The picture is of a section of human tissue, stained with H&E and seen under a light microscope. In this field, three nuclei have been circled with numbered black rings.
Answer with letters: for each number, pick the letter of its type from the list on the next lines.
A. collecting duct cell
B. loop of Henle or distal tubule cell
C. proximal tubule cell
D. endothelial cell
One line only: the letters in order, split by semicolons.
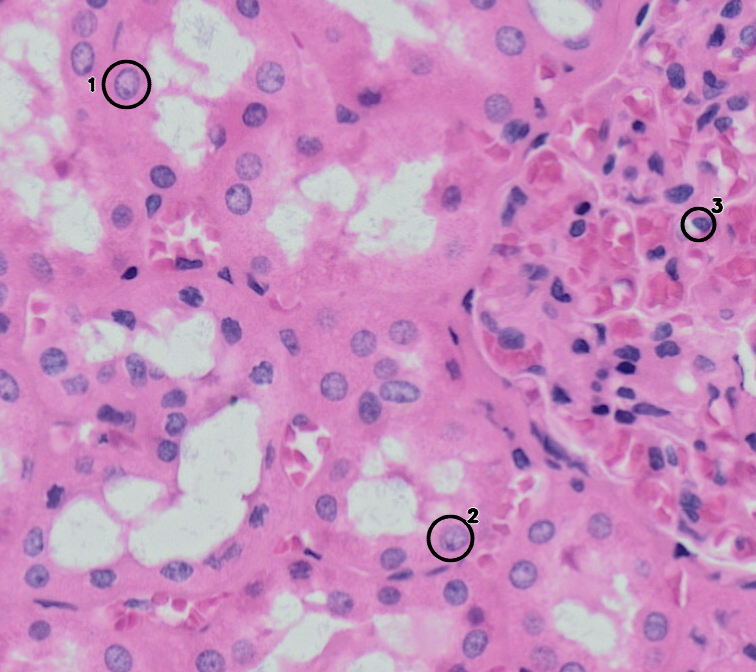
C; C; D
